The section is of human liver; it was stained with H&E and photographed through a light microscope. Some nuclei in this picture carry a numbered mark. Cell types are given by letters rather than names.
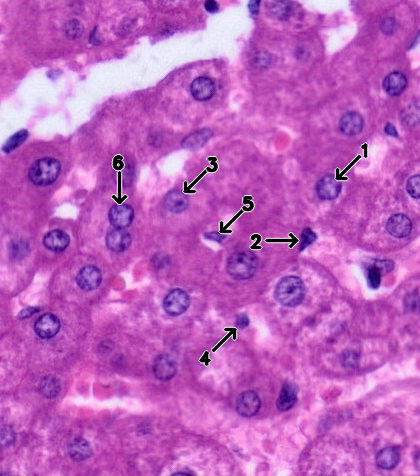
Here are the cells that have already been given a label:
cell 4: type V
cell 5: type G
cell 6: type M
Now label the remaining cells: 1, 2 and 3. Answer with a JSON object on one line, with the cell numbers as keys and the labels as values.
{"1": "type M", "2": "type G", "3": "type M"}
